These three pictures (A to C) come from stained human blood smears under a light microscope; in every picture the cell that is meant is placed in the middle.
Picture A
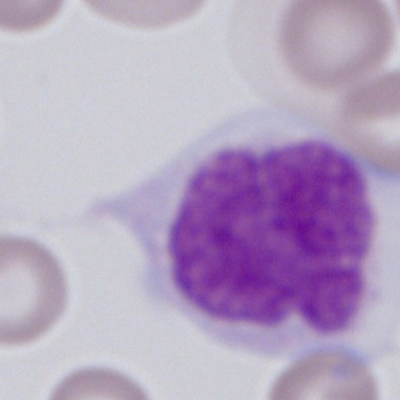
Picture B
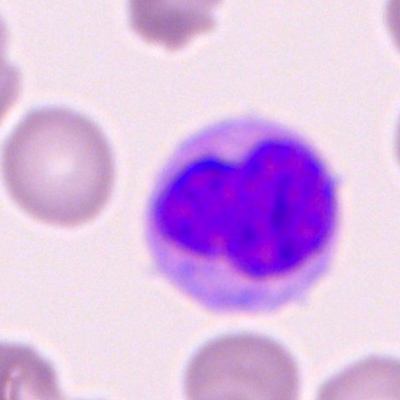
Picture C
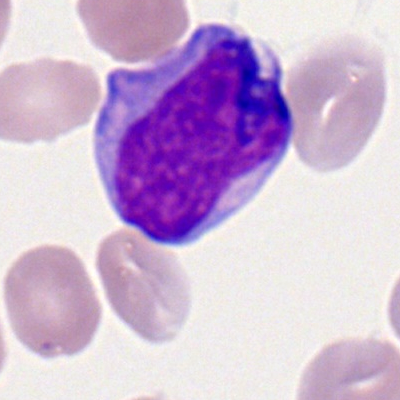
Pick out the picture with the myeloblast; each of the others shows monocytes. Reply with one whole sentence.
The myeloblast is the one in picture C.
